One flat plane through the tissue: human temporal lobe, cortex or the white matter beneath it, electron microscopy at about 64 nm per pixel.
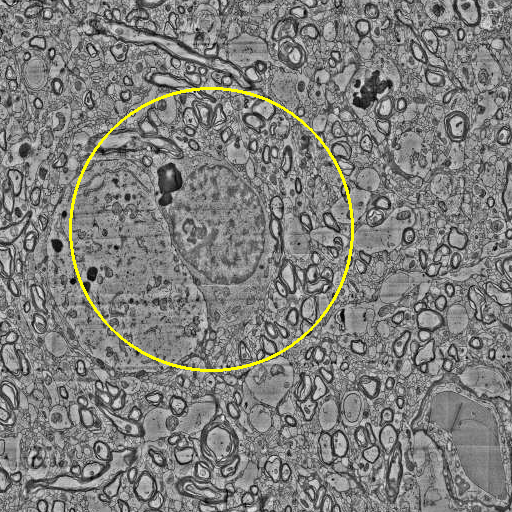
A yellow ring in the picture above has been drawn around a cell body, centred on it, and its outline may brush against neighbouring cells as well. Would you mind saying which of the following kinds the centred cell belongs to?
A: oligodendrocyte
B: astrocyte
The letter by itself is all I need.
A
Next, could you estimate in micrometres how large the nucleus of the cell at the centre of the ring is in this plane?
Approximately 8 micrometres long and 6 micrometres wide, in this plane.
